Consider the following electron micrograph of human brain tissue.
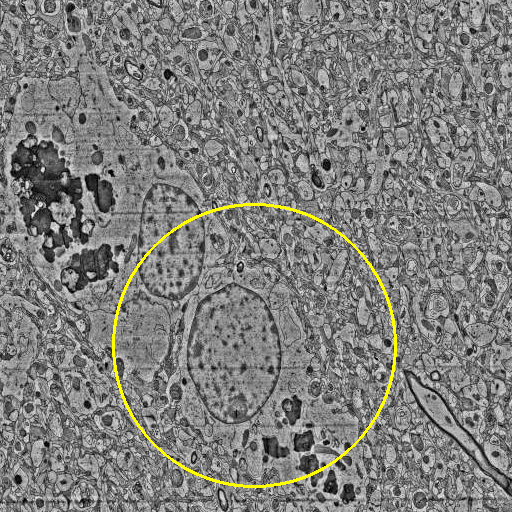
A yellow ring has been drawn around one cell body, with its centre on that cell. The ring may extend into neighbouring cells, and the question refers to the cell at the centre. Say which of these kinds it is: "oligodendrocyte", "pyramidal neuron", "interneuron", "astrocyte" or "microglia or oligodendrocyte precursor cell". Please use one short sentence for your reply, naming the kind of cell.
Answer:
The centre of the ring falls on an astrocyte.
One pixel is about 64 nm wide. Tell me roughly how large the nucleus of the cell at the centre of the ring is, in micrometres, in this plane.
In this plane the nucleus measures roughly 9 by 6 micrometers.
